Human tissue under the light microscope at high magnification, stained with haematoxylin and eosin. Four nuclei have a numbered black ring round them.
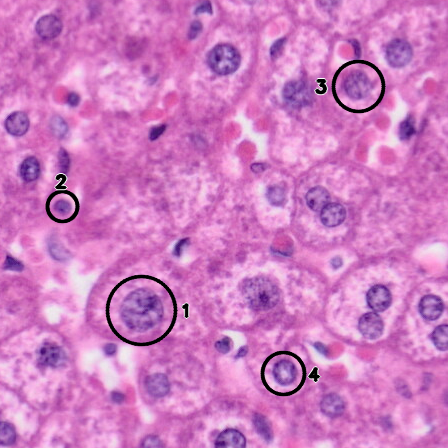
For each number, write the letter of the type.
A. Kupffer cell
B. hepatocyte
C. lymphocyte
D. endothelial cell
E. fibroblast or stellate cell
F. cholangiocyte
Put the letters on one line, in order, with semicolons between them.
B; C; B; B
